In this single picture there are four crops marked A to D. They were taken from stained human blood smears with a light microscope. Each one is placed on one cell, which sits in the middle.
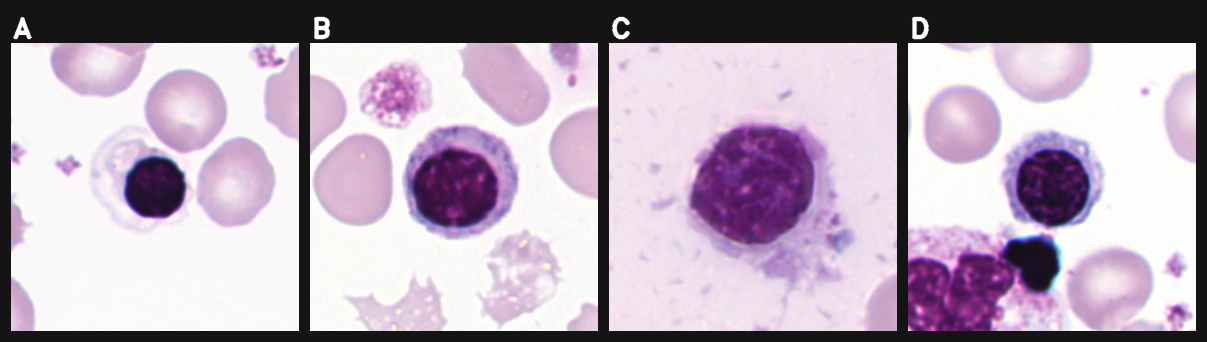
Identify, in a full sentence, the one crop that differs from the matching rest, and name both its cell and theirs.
The pattern of normoblasts across the crops is broken only by crop C, which shows a plasma cell.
